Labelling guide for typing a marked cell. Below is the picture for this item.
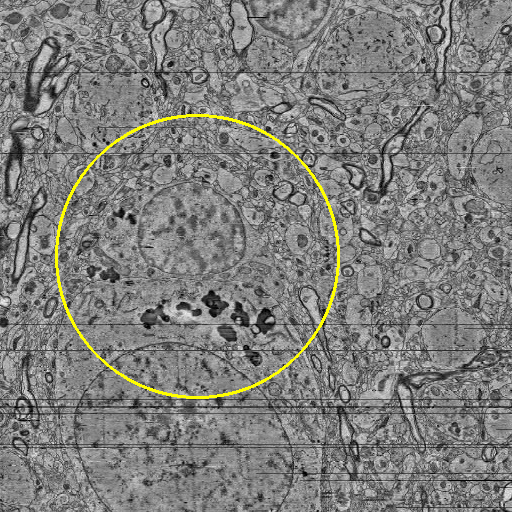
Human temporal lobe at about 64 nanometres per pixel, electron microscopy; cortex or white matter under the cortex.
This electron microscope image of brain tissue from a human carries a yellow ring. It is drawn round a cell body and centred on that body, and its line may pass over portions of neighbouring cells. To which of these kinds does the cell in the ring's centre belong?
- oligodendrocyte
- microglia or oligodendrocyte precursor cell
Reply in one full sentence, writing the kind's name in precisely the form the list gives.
Here we have an oligodendrocyte at the centre of the yellow ring in the picture.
